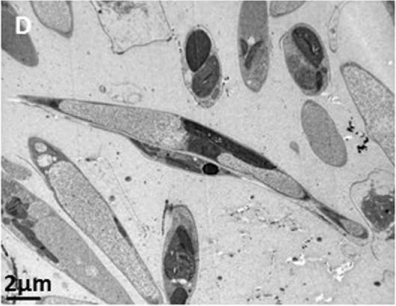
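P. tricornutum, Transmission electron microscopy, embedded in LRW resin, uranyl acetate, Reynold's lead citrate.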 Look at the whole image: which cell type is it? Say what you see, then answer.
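Long spindle-shaped cell sections tapering at both ends. So: fusiform morphotype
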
